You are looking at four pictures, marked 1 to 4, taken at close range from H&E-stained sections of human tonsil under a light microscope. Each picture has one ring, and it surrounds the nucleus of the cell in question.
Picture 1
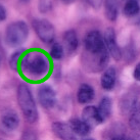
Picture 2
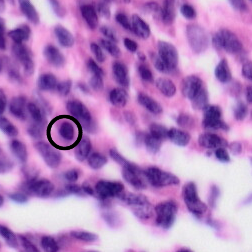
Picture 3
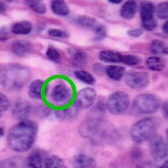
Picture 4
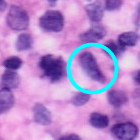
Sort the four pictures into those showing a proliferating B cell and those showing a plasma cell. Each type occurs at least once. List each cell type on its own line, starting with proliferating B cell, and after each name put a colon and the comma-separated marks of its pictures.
proliferating B cell: 2, 3, 4
plasma cell: 1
